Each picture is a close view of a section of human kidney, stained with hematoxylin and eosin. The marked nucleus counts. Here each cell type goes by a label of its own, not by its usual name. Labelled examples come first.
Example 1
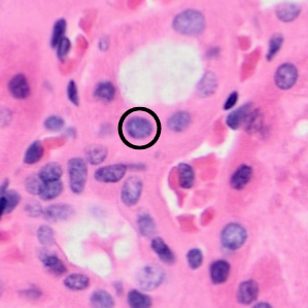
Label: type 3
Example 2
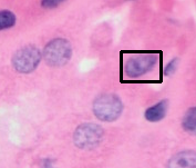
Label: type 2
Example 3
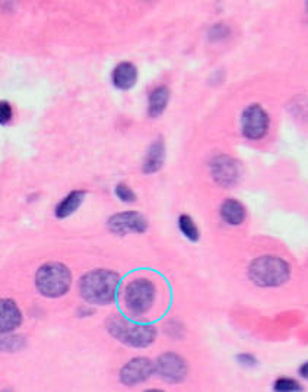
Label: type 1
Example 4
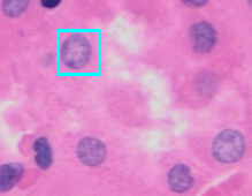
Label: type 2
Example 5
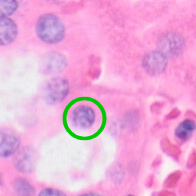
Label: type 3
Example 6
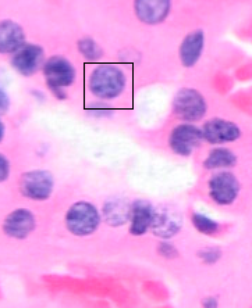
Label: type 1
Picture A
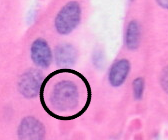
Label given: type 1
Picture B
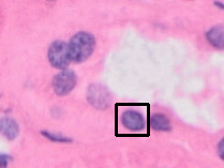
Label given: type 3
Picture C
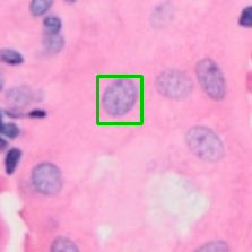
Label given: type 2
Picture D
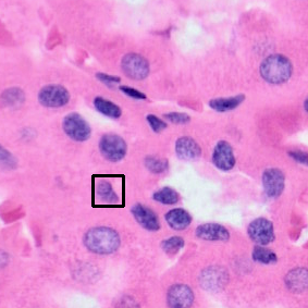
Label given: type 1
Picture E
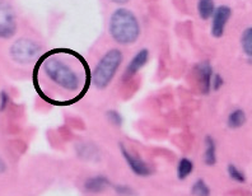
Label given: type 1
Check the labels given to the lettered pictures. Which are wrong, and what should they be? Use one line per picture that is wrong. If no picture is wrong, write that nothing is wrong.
D: change type 1 to type 3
